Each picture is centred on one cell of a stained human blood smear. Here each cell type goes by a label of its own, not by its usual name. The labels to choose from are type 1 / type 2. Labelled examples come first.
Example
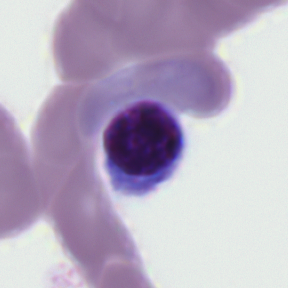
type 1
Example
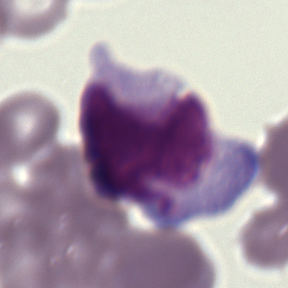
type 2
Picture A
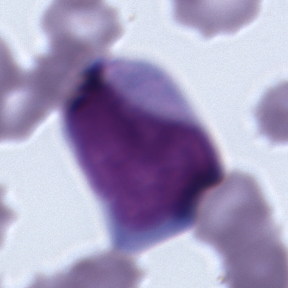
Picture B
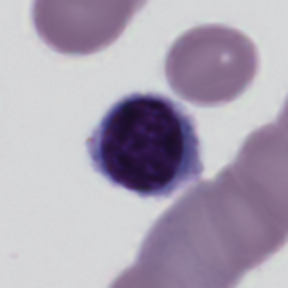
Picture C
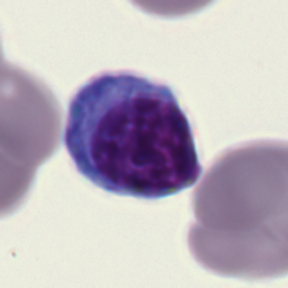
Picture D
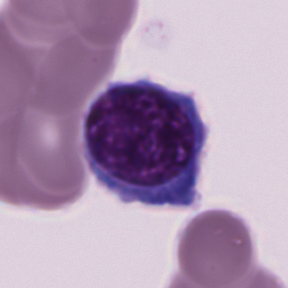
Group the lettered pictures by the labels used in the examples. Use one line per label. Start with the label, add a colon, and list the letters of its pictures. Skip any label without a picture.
type 1: B, C, D
type 2: A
